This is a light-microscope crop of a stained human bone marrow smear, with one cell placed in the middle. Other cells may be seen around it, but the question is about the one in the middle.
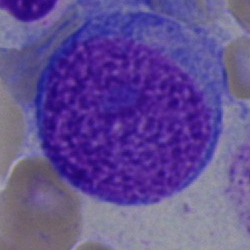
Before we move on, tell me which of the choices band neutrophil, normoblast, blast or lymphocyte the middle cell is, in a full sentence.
The center cell of this crop is a blast.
